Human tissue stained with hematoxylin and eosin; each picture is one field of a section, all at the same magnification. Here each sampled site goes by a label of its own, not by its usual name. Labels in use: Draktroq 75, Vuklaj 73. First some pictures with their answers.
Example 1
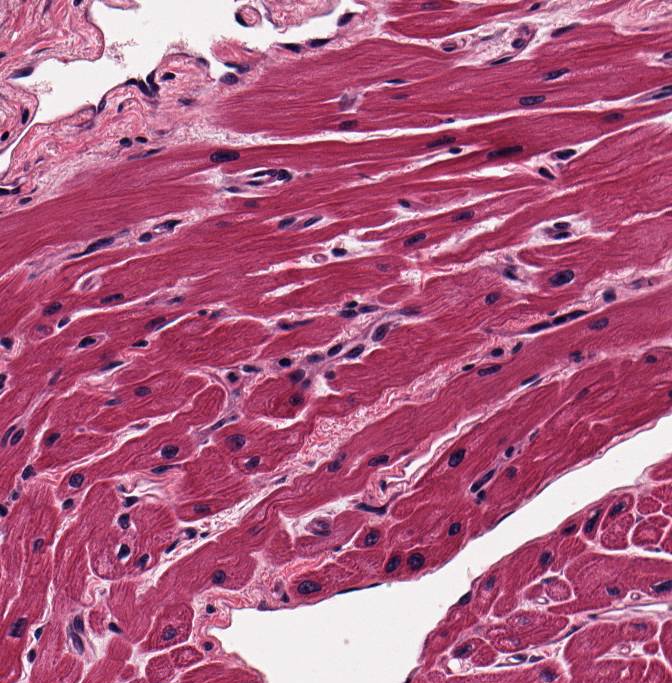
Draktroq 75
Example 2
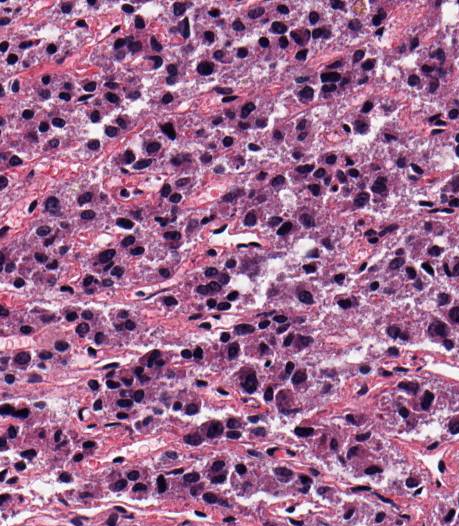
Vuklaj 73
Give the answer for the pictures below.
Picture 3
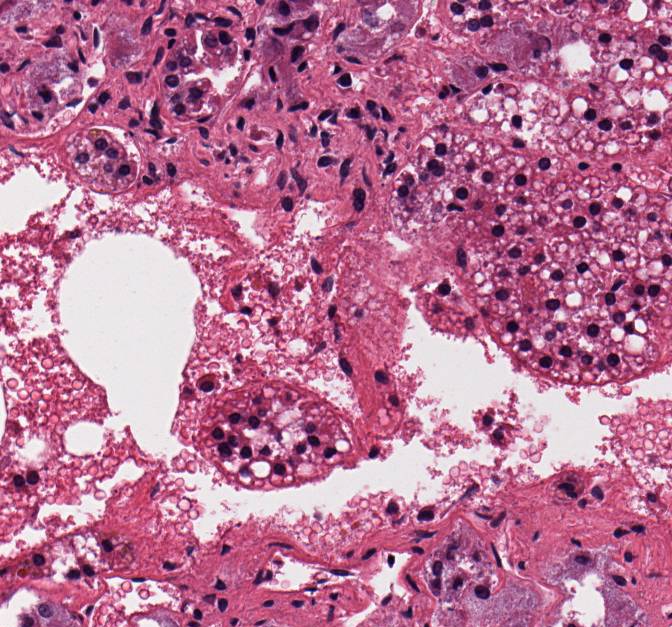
Vuklaj 73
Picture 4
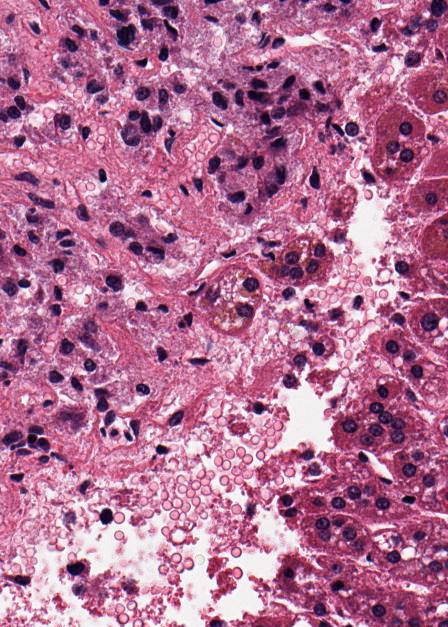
Vuklaj 73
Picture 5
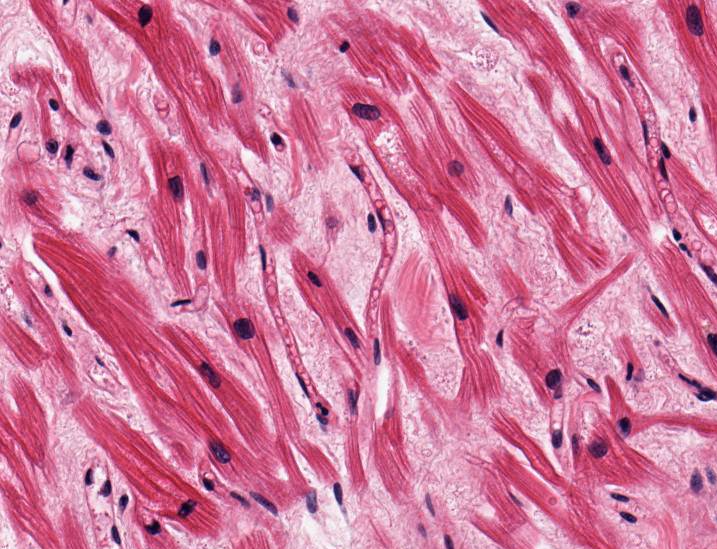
Draktroq 75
